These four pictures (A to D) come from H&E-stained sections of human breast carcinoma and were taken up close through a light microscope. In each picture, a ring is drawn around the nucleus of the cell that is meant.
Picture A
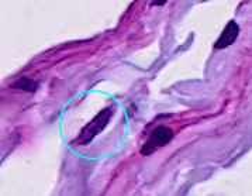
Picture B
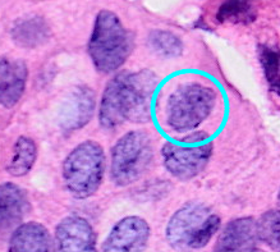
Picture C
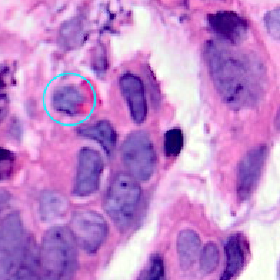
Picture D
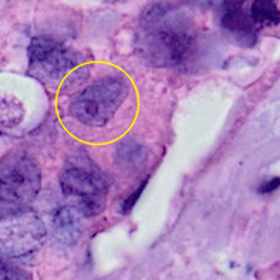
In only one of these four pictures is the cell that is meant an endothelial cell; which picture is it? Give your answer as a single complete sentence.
It is picture C that shows the endothelial cell.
